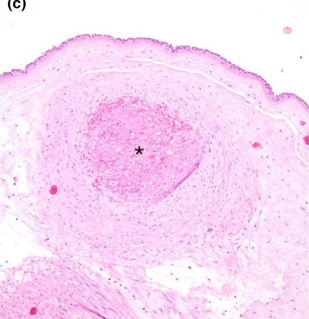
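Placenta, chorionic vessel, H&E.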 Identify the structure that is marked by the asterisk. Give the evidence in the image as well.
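The vessel lumen is no longer open.
Answer: Old occlusive thrombus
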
